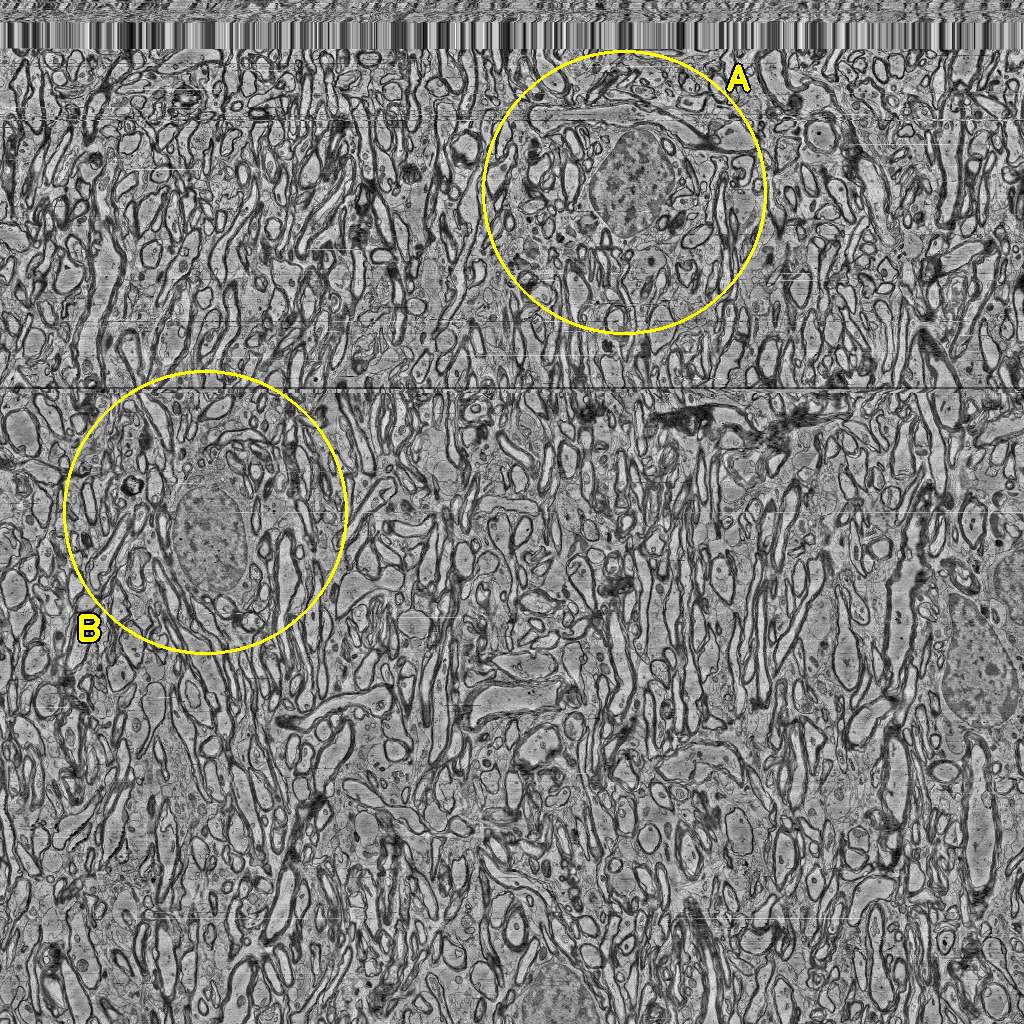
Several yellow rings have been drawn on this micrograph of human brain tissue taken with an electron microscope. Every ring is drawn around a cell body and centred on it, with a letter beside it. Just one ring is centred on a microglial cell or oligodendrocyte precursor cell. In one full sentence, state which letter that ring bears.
At the centre of ring A is a cell of that kind.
